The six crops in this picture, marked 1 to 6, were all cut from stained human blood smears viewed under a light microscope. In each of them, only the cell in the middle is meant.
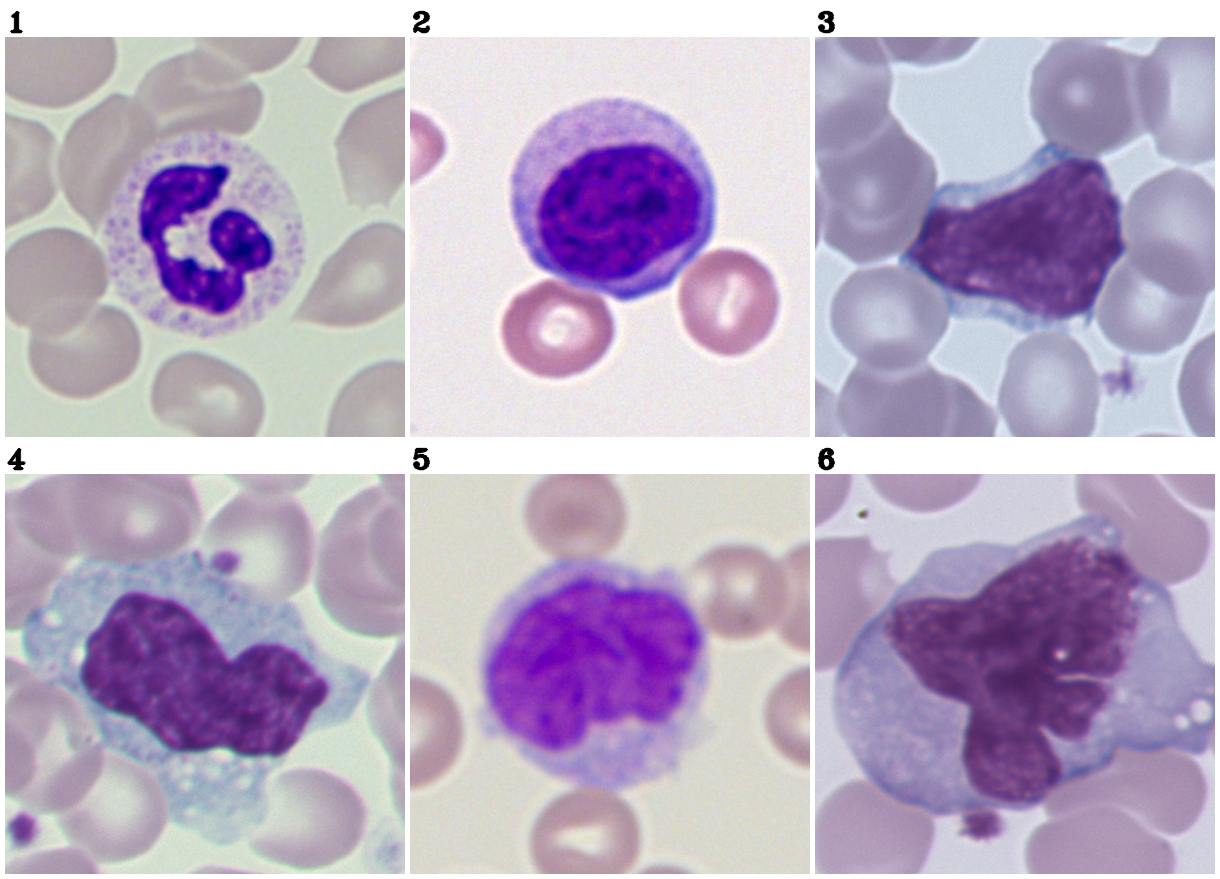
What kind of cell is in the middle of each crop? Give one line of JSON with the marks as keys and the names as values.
{"1": "neutrophil", "2": "lymphocyte", "3": "lymphocyte", "4": "monocyte", "5": "monocyte", "6": "monocyte"}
